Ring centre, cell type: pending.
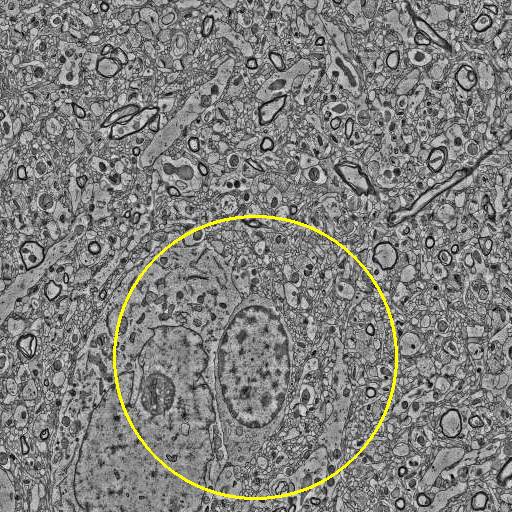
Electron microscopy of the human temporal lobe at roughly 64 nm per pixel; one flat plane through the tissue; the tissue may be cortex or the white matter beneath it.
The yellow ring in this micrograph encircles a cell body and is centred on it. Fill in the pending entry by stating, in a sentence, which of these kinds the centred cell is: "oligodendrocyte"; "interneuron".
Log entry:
The centred cell is recorded as an oligodendrocyte.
